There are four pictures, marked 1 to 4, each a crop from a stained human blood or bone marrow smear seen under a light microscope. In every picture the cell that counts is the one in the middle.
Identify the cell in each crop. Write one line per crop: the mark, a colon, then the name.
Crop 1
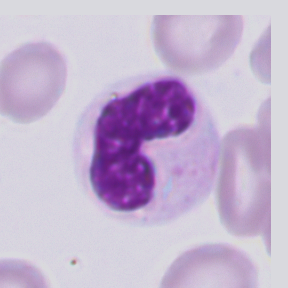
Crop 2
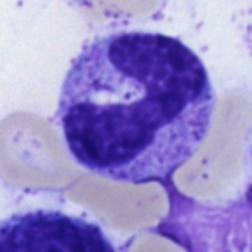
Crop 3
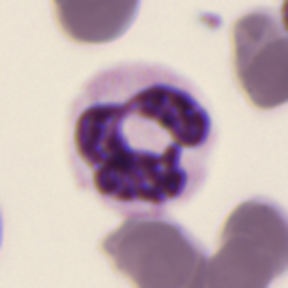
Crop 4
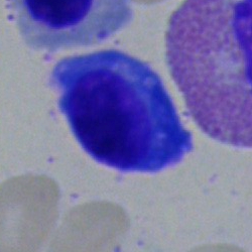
1: band neutrophil
2: band neutrophil
3: segmented neutrophil
4: plasma cell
